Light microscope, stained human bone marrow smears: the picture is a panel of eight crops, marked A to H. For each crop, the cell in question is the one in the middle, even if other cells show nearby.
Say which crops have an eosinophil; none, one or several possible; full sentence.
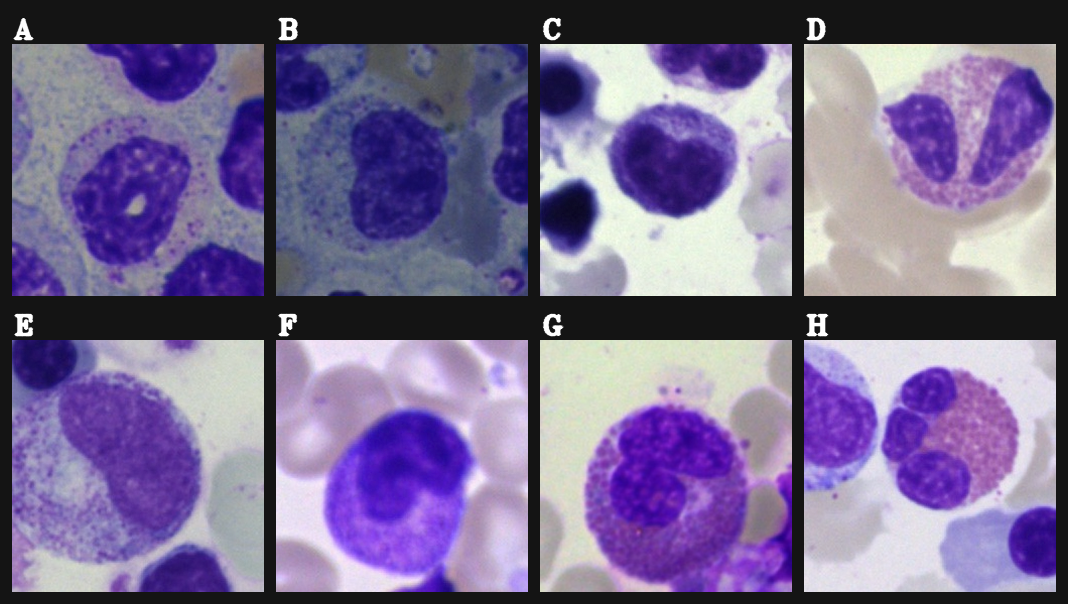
Of the crops given, crops D, G and H show eosinophils.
